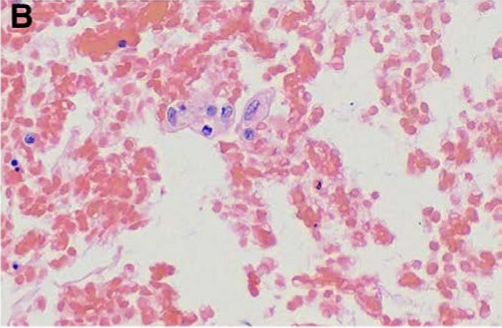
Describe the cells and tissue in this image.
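Cell block section with a few atypical cells lying among abundant red blood cells. Red blood cells, pink-red, fill most of the field. Occasional small dark round cells are scattered between them.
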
